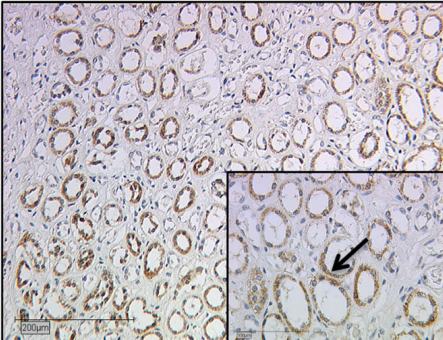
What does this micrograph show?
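Kidney tissue with many closely packed tubules cut in cross-section, set in a little pale interstitium. The epithelial cells lining the tubules are stained brown in their cytoplasm, forming brown rings around clear lumina, while the interstitium stays pale and nuclei are blue. The inset shows these brown-ringed tubules at higher magnification, an arrow marking one lining epithelium.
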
